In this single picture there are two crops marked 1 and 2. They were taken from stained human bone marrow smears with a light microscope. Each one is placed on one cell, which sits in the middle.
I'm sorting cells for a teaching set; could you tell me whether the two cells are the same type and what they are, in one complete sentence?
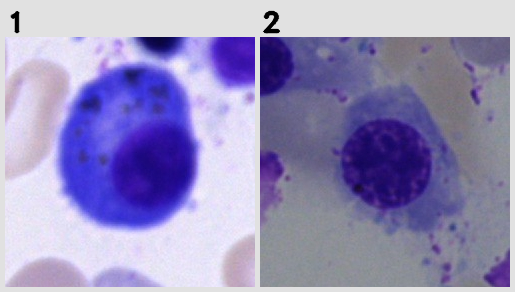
No, crop 1 has a plasma cell in the middle, and crop 2 has an erythroblast.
